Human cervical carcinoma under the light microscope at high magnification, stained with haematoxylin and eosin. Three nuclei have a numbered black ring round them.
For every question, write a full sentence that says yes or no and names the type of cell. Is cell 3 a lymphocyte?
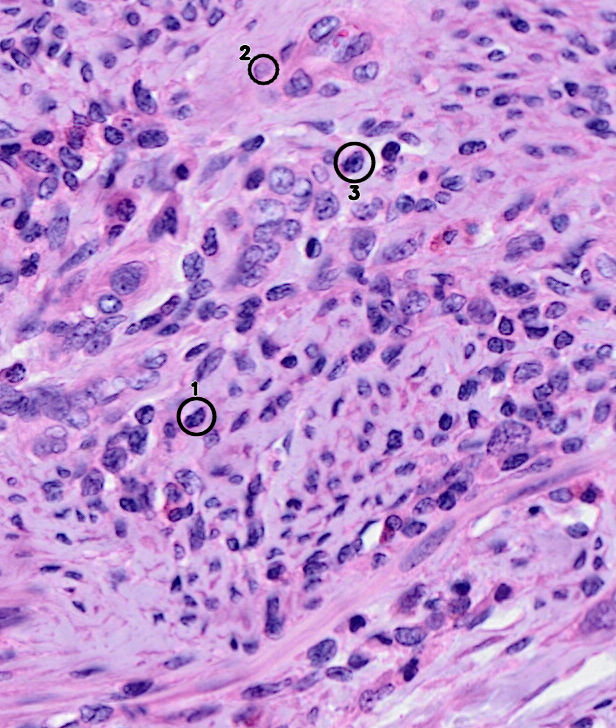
Yes, looking at number 3, that cell is a lymphocyte.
